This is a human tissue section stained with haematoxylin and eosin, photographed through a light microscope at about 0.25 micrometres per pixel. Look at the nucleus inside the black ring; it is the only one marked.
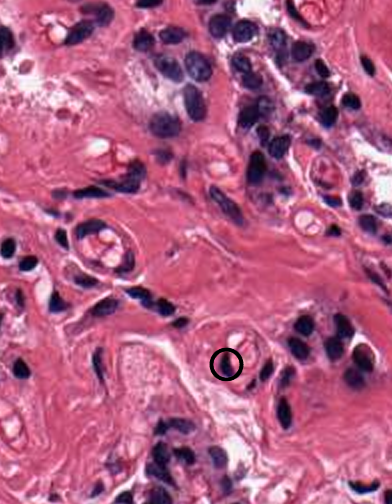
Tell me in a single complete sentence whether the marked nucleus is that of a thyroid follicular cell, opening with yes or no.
No, the marked nucleus does not come from a thyroid follicular cell but from a supporting cell.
